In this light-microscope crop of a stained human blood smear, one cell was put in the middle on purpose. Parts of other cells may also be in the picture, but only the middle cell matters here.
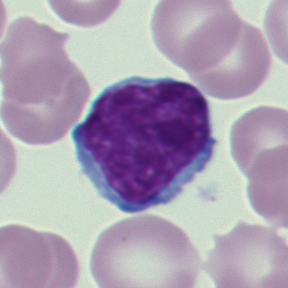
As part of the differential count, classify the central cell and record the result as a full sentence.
The cell nearest the centre of this crop is a typical lymphocyte.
